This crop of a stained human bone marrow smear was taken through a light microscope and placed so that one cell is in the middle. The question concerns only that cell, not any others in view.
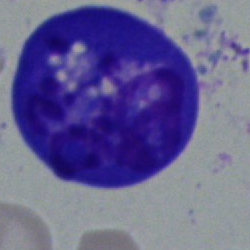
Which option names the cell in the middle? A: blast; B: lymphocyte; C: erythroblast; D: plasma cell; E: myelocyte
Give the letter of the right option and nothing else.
A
